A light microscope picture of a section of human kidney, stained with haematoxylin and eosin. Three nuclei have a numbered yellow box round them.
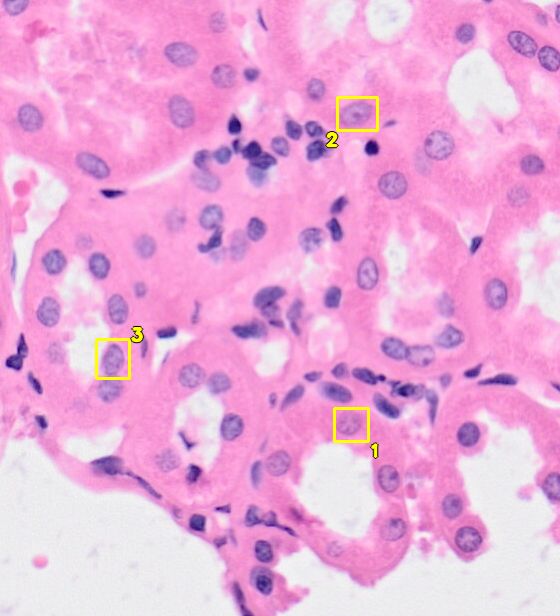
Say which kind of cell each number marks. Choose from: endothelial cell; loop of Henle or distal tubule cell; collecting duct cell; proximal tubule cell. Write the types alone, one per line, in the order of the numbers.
proximal tubule cell
proximal tubule cell
loop of Henle or distal tubule cell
